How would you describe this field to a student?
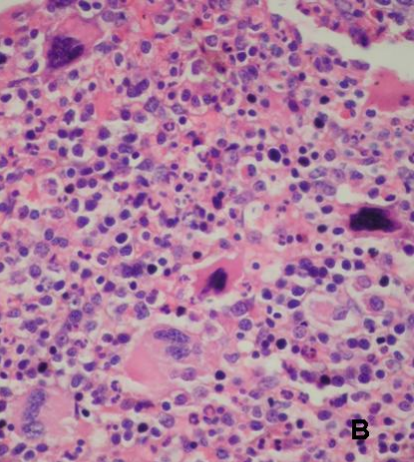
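Hypercellular bone marrow is packed with small marrow cells and contains several scattered megakaryocytes. The megakaryocytes have broad pink cytoplasm and dense, dark purple, lobulated nuclei. The small cells between them have round dark nuclei, some with eosinophilic cytoplasm, and they fill the field with no fat spaces.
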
